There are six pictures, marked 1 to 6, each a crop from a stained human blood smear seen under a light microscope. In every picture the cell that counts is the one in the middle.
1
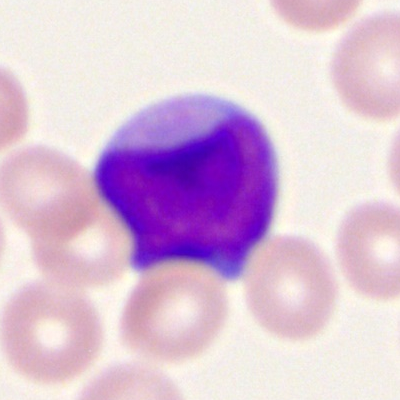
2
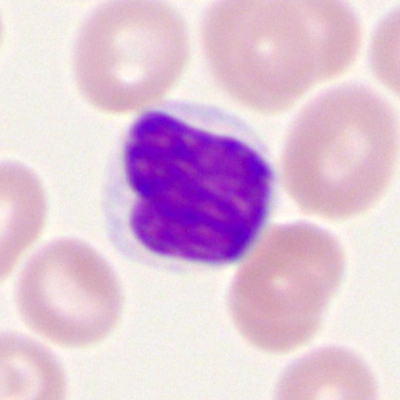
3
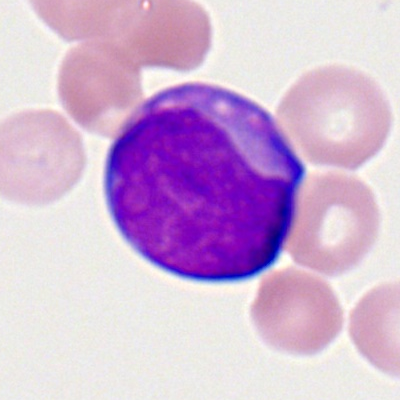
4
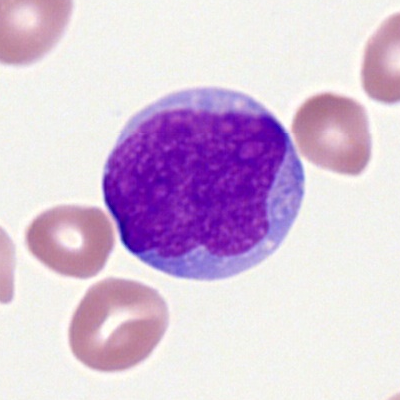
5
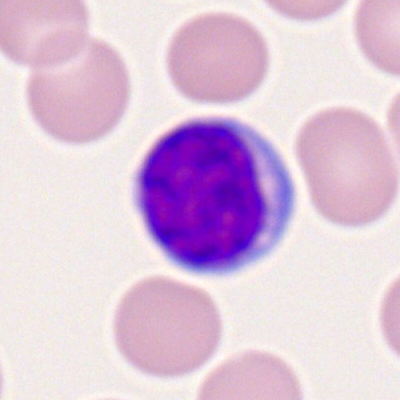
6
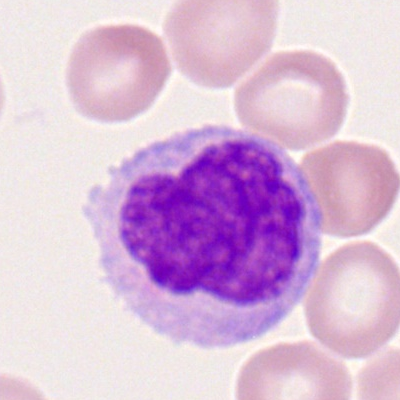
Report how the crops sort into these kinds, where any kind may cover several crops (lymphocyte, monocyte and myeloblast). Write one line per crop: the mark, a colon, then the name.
1: myeloblast
2: lymphocyte
3: myeloblast
4: myeloblast
5: lymphocyte
6: monocyte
